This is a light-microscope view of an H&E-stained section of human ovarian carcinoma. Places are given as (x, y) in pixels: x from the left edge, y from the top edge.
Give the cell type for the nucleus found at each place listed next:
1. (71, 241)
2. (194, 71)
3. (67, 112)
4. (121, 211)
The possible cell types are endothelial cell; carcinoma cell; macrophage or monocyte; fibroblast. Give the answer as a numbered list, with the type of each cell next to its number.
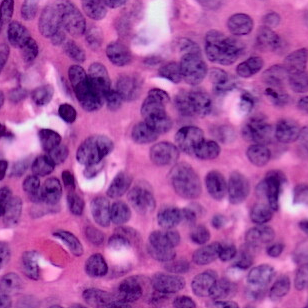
1. endothelial cell
2. carcinoma cell
3. carcinoma cell
4. carcinoma cell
